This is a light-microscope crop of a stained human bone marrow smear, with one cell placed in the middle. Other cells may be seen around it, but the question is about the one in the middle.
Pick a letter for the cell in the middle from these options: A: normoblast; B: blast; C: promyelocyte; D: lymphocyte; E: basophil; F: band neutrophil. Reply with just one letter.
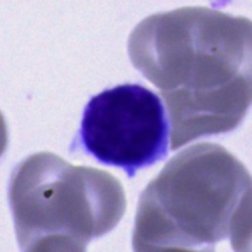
D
